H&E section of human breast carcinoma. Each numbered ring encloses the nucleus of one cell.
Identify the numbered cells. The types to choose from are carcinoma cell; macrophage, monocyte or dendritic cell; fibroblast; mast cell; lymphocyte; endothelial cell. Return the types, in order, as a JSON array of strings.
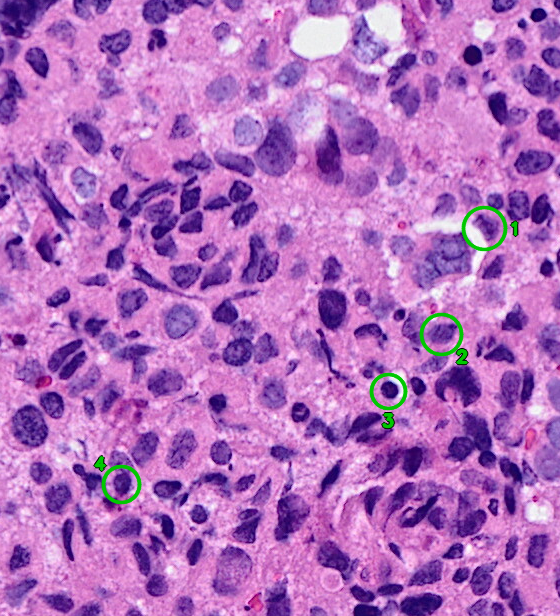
["carcinoma cell", "carcinoma cell", "lymphocyte", "carcinoma cell"]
